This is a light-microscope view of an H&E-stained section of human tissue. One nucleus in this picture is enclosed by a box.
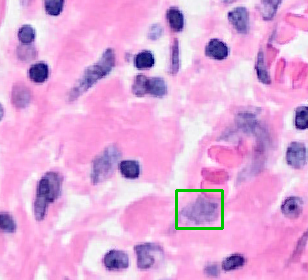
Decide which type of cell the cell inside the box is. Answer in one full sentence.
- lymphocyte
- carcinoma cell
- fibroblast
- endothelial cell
The category to which the cell inside the box belongs is that of an endothelial cell.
